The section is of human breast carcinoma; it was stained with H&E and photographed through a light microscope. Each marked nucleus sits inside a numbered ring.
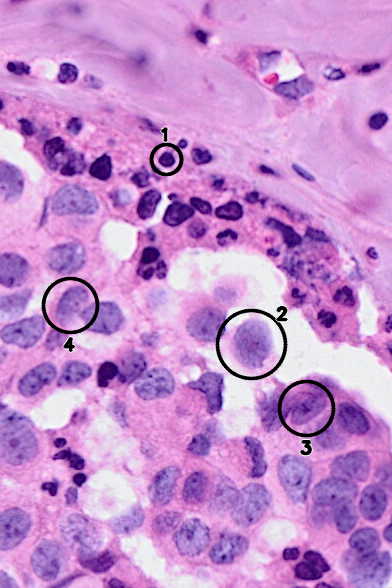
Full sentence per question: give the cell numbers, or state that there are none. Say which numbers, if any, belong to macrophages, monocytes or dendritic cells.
There are no macrophages, monocytes or dendritic cells in the group of numbered cells.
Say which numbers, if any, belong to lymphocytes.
Only number 1 is a lymphocyte; none of the others are.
